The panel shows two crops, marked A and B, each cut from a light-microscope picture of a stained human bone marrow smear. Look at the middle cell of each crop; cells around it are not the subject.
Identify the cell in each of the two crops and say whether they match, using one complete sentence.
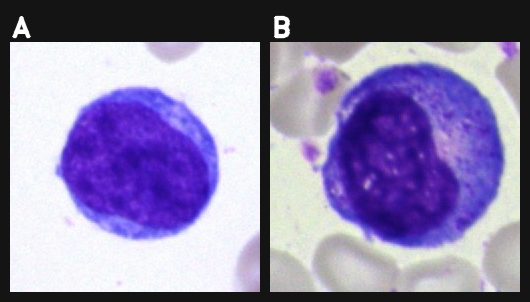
No, crop A is to be identified as a blast and crop B as a promyelocyte.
